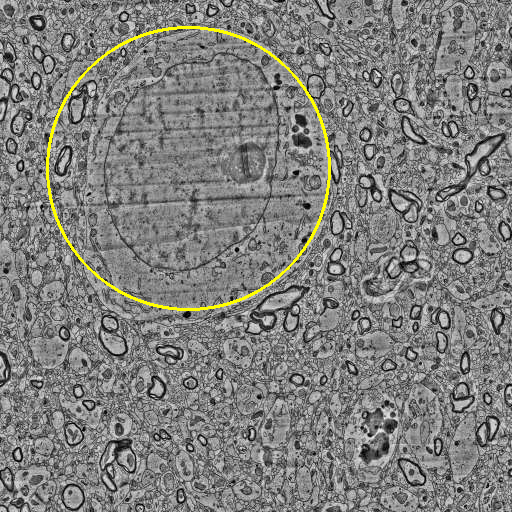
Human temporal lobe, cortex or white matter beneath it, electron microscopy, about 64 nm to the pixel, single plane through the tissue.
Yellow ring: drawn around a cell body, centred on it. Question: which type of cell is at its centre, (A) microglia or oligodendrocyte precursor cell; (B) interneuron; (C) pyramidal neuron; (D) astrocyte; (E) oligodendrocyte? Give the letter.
C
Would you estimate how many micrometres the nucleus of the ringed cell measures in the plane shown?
In this plane, the nucleus is roughly 15 by 11 micrometres.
